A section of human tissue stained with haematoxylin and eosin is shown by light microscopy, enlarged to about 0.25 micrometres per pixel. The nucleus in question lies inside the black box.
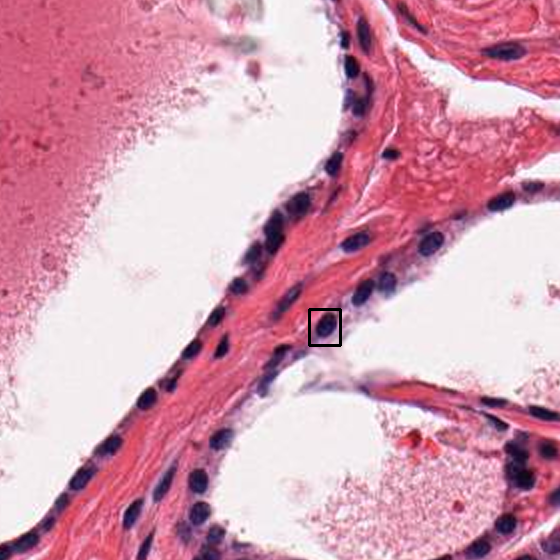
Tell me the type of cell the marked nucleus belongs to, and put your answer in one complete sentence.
It is to a thyroid follicular cell that the marked nucleus belongs.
